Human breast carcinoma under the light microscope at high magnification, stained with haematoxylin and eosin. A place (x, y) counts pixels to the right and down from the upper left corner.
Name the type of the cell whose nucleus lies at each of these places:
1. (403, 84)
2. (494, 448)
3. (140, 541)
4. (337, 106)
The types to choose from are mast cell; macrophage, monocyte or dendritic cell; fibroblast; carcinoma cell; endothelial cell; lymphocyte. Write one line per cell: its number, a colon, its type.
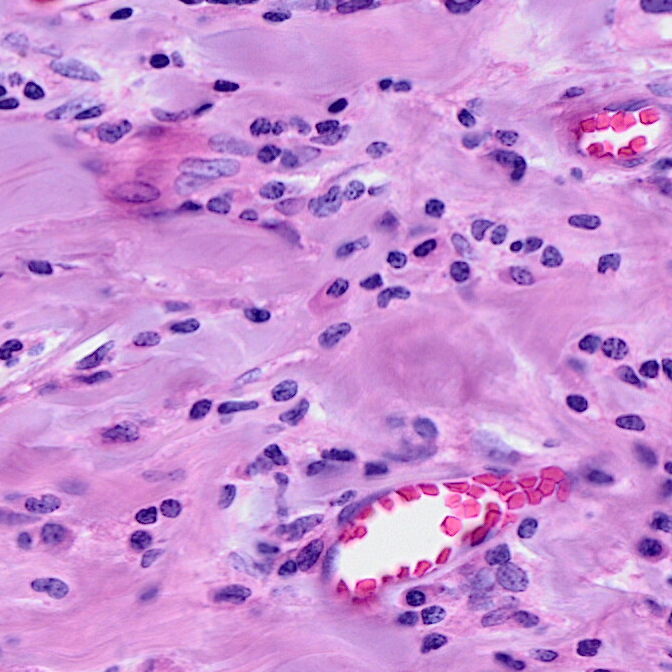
1: lymphocyte
2: fibroblast
3: lymphocyte
4: lymphocyte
